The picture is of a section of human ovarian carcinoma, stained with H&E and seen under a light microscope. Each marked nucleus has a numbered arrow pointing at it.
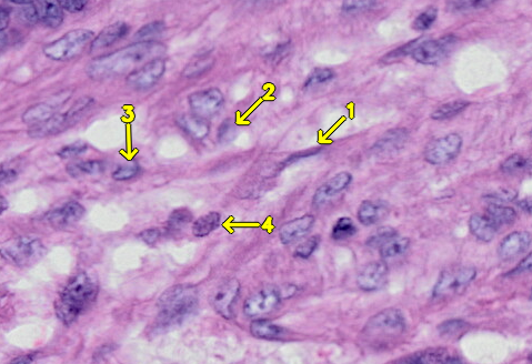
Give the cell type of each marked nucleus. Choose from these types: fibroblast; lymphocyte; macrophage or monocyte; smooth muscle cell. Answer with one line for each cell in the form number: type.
1: fibroblast
2: fibroblast
3: fibroblast
4: macrophage or monocyte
